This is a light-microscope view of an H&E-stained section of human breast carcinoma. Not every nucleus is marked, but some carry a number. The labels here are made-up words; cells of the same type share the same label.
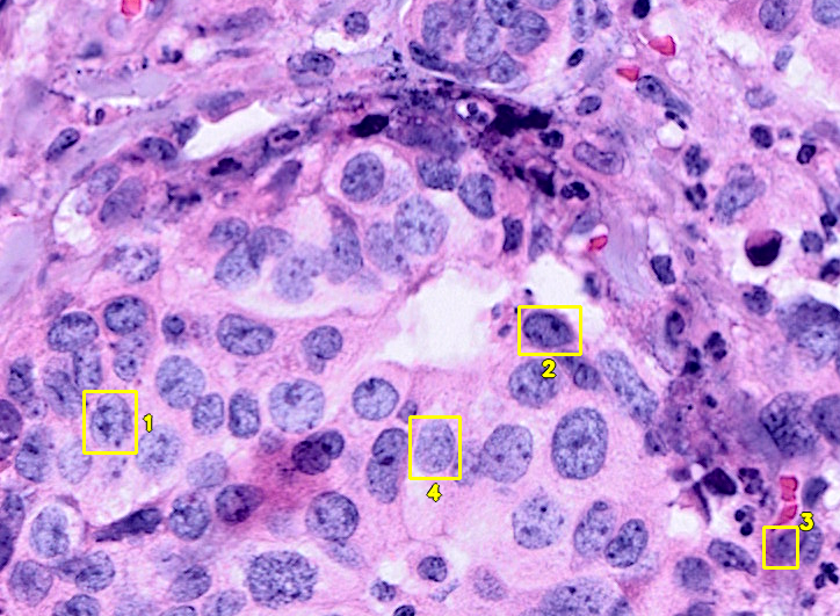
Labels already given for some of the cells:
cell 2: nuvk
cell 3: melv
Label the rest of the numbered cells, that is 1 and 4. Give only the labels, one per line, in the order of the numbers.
nuvk
nuvk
